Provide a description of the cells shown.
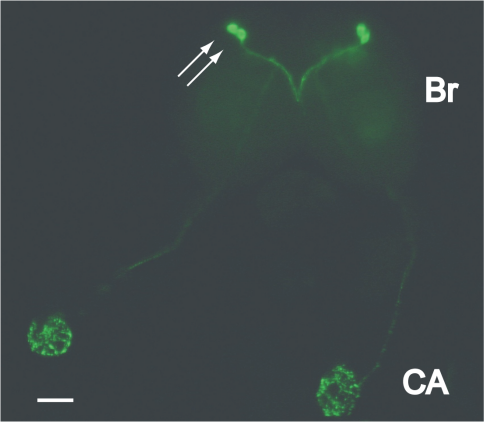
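Near the upper edge of each brain hemisphere lies a small bright cluster of cell bodies, from which thin axons converge toward the midline, cross down out of the brain and run as long fibres to two round glands at the bottom. These glands show a speckled green pattern of terminal endings over their surface.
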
